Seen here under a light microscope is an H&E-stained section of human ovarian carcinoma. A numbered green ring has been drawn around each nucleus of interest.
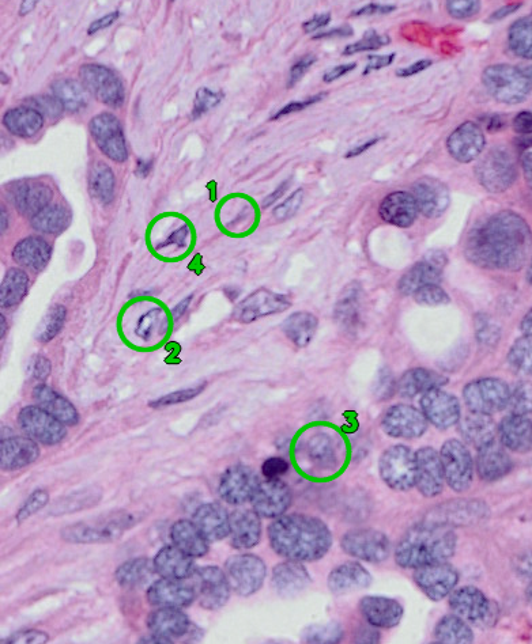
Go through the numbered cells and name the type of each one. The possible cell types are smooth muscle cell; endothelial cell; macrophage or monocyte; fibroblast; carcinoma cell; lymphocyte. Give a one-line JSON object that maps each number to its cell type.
{"1": "fibroblast", "2": "fibroblast", "3": "carcinoma cell", "4": "fibroblast"}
